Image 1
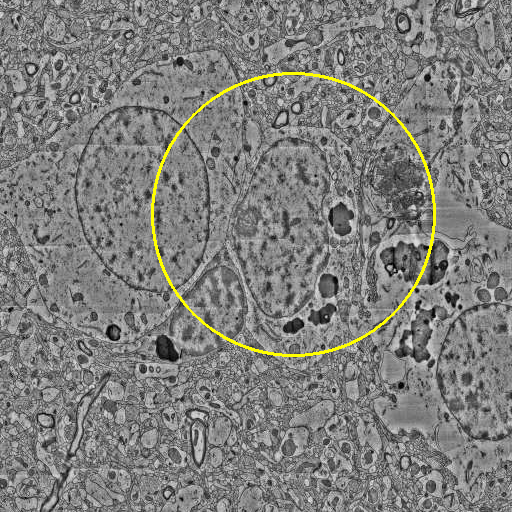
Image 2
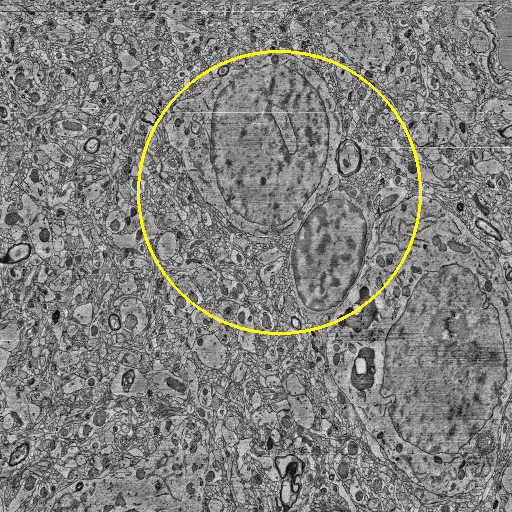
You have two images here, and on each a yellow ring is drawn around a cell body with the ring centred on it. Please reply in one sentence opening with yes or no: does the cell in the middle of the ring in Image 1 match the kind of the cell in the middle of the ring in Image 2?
Yes, the two images show cells of one kind at the centres of their rings.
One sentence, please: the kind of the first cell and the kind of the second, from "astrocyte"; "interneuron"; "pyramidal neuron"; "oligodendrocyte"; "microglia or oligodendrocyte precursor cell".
The cell in the first picture is an interneuron, and so is the one in the second.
